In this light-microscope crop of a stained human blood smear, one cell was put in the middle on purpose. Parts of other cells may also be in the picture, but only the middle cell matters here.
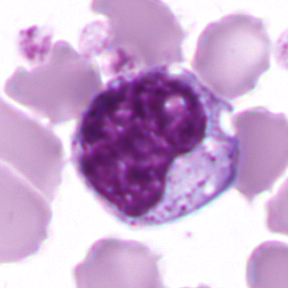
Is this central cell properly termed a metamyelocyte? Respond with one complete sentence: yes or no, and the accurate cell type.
Yes, the cell at the middle is a metamyelocyte.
